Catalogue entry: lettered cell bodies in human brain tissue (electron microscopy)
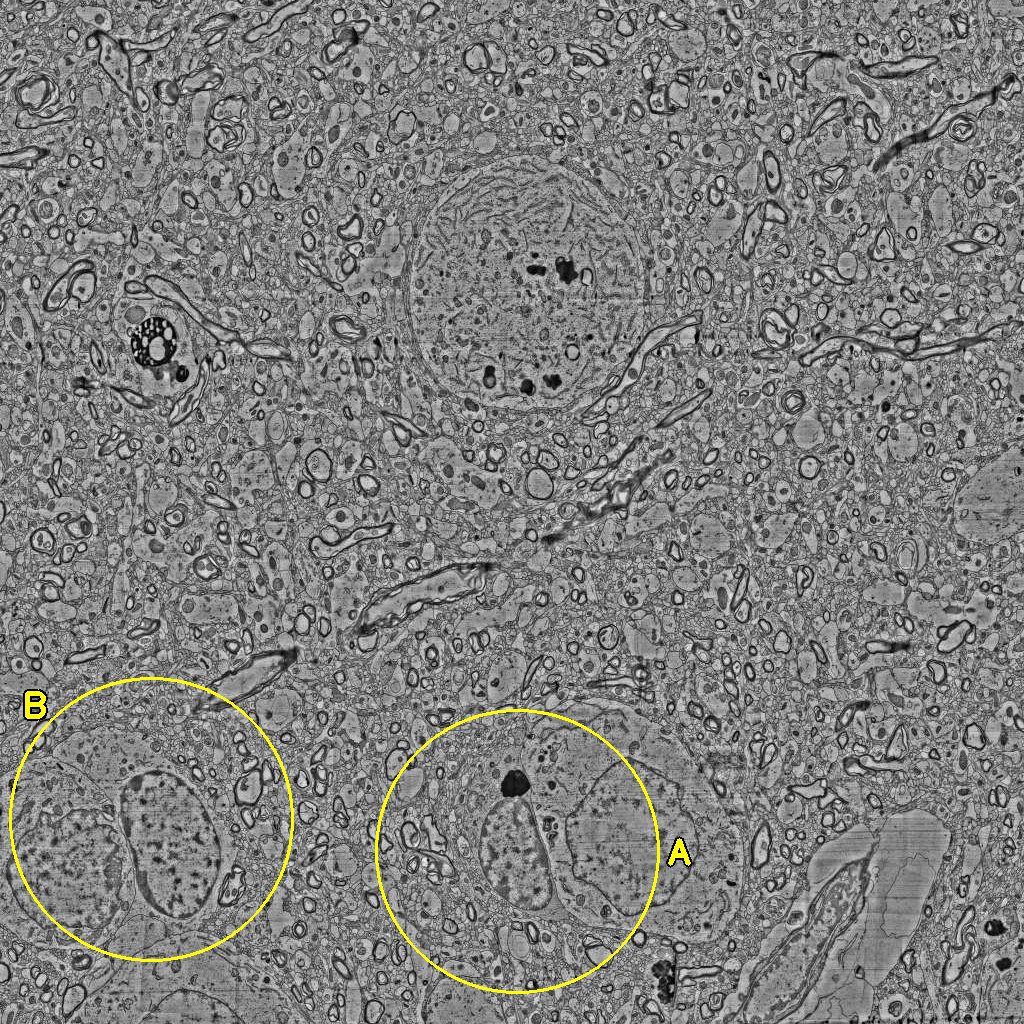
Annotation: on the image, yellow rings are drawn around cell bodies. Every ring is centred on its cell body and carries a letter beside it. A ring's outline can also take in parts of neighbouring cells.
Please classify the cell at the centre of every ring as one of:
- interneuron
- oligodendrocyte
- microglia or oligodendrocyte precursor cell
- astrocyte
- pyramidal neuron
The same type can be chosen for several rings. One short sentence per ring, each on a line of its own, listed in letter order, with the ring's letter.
Ring A is classified as an oligodendrocyte.
Ring B is classified as a microglial cell or oligodendrocyte precursor cell.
